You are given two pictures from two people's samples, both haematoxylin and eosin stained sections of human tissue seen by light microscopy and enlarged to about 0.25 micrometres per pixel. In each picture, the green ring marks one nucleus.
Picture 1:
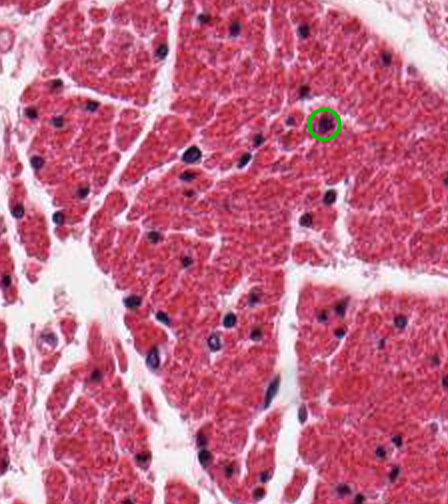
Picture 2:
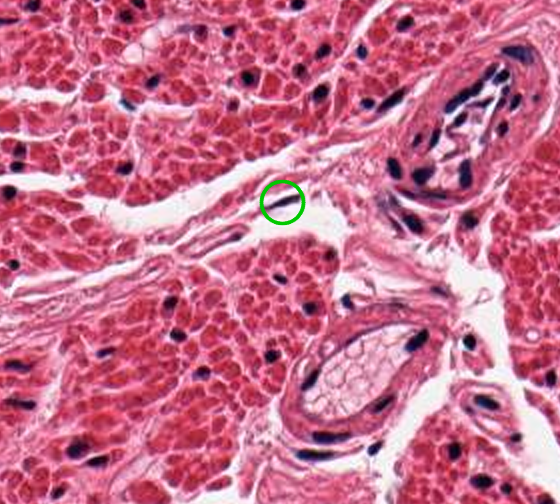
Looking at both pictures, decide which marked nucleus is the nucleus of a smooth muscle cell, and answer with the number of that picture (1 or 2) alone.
1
